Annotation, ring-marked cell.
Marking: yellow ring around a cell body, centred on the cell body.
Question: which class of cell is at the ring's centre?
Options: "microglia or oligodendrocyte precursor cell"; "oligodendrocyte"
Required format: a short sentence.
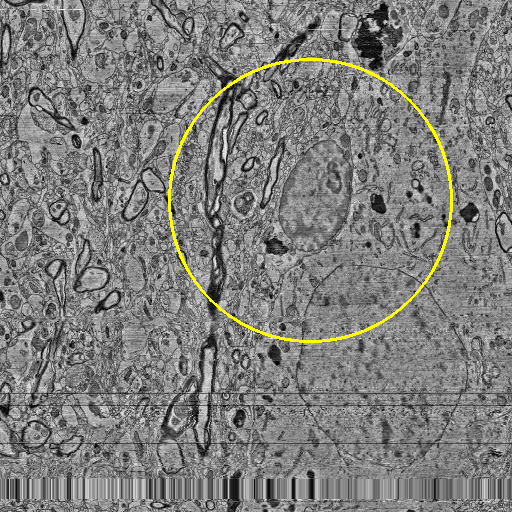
At the ring's centre is an oligodendrocyte.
